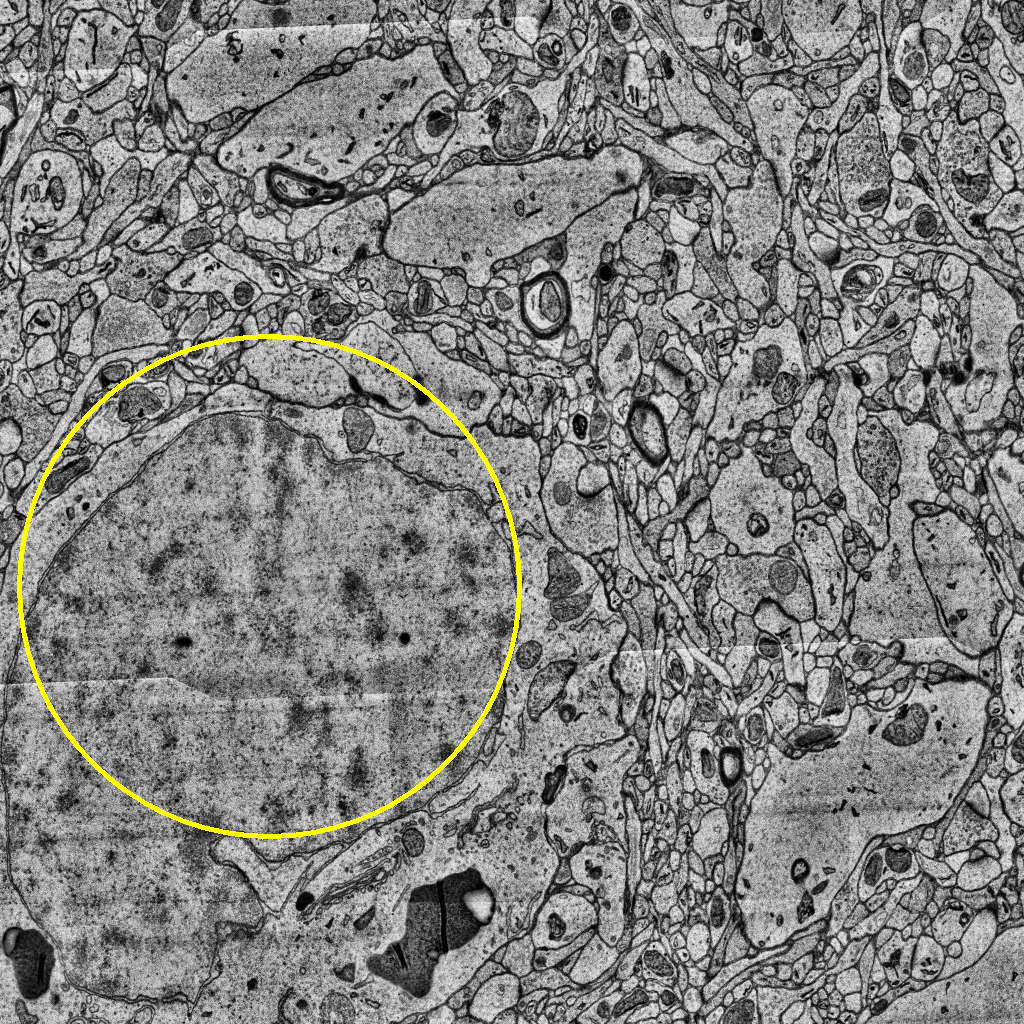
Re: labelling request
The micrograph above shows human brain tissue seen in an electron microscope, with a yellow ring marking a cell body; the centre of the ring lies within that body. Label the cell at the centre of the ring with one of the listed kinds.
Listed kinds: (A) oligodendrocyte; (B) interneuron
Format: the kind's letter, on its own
B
